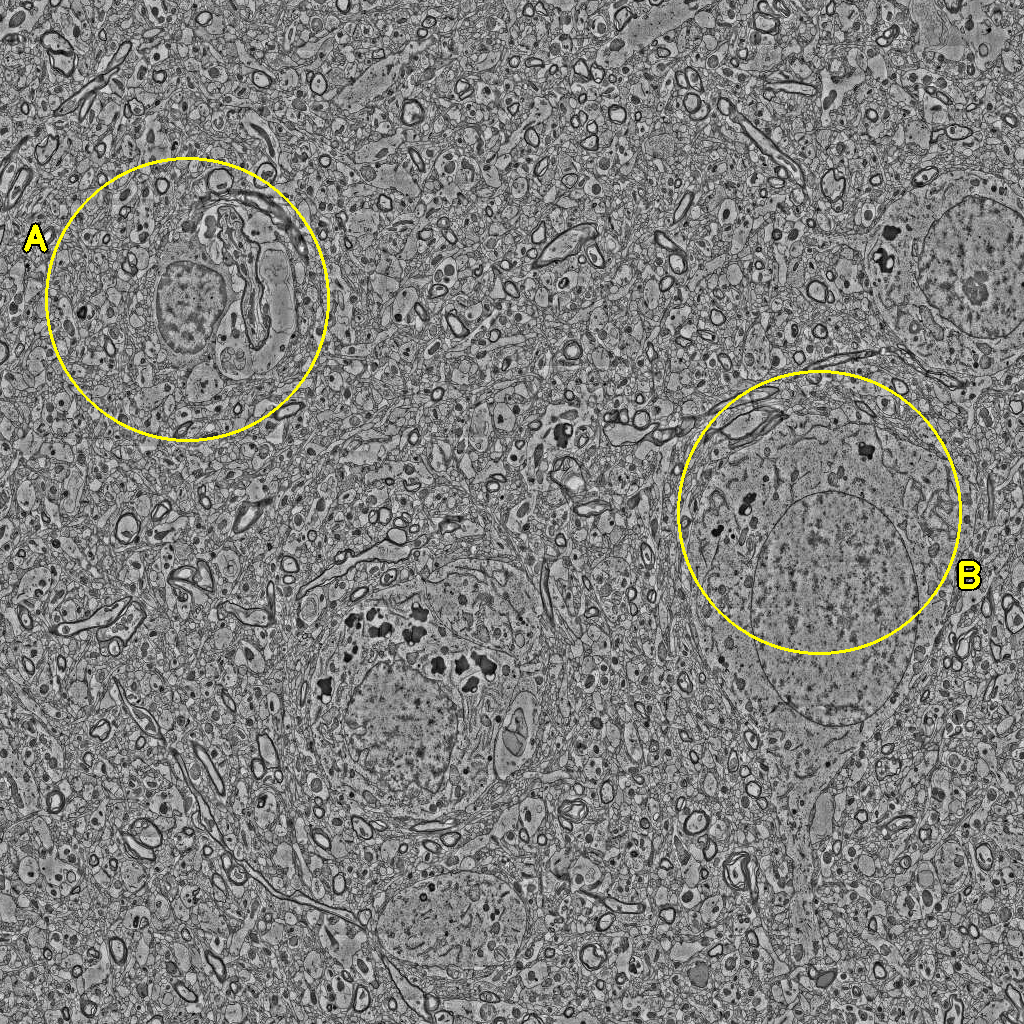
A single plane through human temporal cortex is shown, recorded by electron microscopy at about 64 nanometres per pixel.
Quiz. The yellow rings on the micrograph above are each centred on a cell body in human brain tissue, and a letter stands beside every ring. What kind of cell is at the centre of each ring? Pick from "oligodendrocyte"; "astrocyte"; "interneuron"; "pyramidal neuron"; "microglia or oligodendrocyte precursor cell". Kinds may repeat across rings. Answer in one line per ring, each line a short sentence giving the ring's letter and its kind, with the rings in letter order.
The ring labelled A has an oligodendrocyte at its centre.
The ring labelled B has a pyramidal neuron at its centre.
